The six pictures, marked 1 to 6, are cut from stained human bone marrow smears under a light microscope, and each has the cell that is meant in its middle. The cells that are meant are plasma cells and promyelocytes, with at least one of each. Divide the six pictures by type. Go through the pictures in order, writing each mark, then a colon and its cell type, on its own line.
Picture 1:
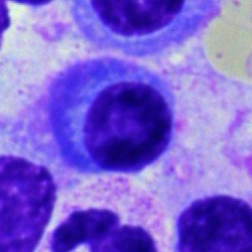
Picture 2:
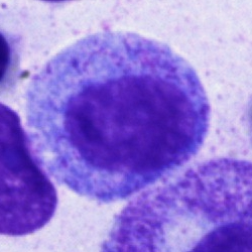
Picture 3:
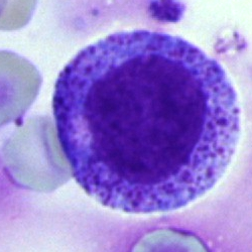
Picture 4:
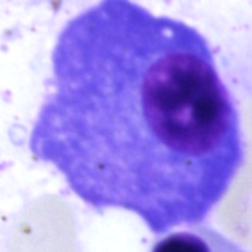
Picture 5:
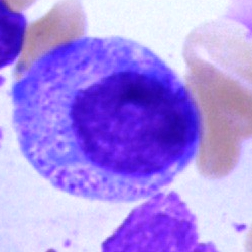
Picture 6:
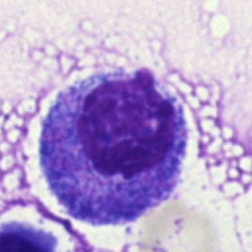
1: plasma cell
2: promyelocyte
3: promyelocyte
4: plasma cell
5: promyelocyte
6: promyelocyte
